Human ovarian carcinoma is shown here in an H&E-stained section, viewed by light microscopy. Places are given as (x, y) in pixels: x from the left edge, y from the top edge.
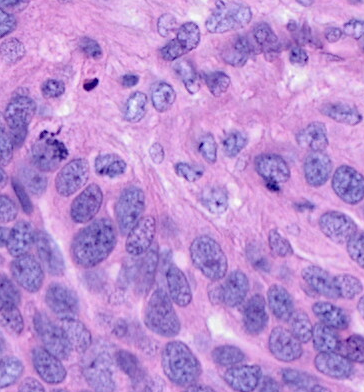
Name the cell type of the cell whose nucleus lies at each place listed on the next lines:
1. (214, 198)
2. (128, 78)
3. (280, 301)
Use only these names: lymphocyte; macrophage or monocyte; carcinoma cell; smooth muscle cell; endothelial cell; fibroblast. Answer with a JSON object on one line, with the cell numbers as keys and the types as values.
{"1": "fibroblast", "2": "lymphocyte", "3": "carcinoma cell"}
